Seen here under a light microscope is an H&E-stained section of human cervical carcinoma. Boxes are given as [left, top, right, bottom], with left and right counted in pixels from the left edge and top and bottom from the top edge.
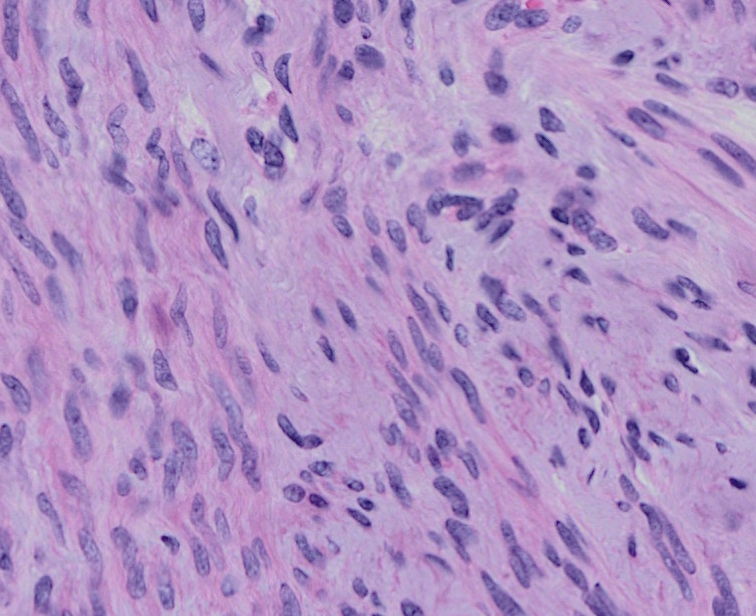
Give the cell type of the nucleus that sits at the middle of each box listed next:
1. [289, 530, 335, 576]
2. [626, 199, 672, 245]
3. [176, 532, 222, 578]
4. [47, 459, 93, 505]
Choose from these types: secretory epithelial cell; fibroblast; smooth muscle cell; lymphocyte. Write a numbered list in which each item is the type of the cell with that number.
1. smooth muscle cell
2. fibroblast
3. smooth muscle cell
4. smooth muscle cell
